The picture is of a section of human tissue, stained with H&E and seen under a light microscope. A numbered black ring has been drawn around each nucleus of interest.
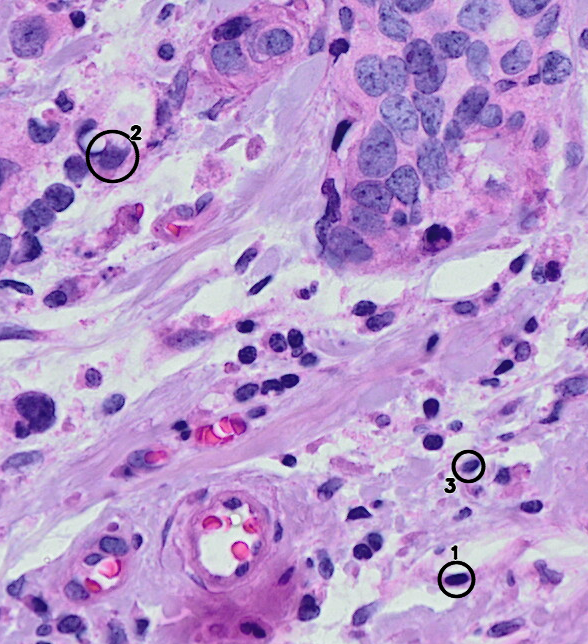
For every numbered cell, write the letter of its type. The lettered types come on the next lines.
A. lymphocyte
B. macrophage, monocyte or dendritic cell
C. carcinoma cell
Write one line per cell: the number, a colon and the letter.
1: A
2: C
3: A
